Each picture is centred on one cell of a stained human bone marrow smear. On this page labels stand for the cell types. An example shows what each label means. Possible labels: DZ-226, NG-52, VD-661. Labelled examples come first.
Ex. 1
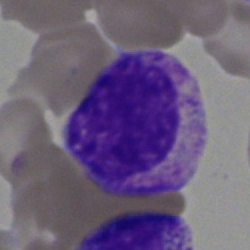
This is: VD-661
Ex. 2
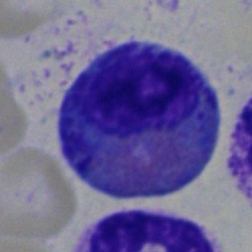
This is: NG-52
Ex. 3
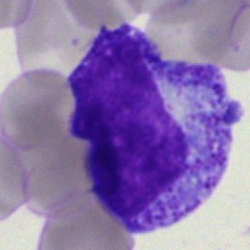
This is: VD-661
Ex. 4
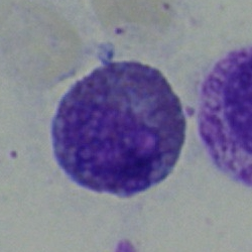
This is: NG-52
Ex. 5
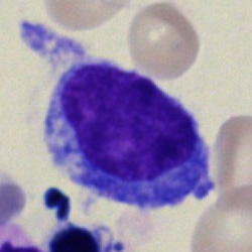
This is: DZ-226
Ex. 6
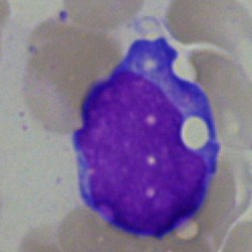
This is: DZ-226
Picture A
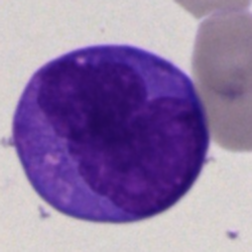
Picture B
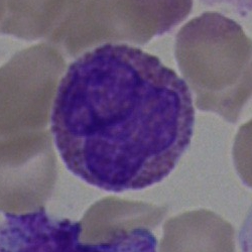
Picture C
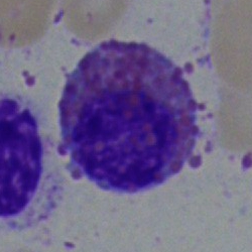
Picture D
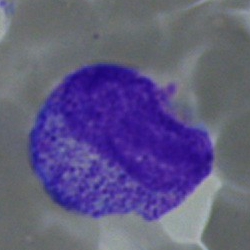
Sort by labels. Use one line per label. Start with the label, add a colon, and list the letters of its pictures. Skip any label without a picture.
DZ-226: A
NG-52: B, C
VD-661: D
